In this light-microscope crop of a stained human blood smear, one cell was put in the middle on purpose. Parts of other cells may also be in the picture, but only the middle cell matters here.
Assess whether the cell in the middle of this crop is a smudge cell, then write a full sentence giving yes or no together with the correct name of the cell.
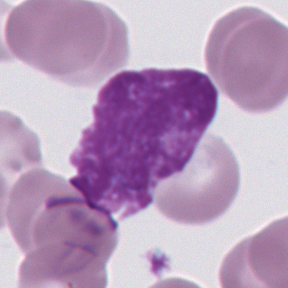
Yes, the cell at the centre of this crop is identified as a smudge cell.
